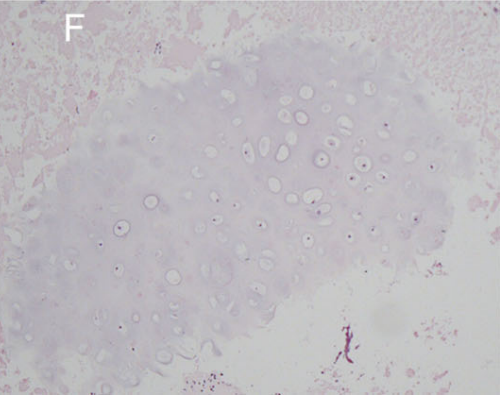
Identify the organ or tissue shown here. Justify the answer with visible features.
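A pale bluish-lilac homogeneous matrix fills a large area. Scattered cells sit in rounded clear spaces within the matrix. That points to this answer: chondroid tissue.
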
